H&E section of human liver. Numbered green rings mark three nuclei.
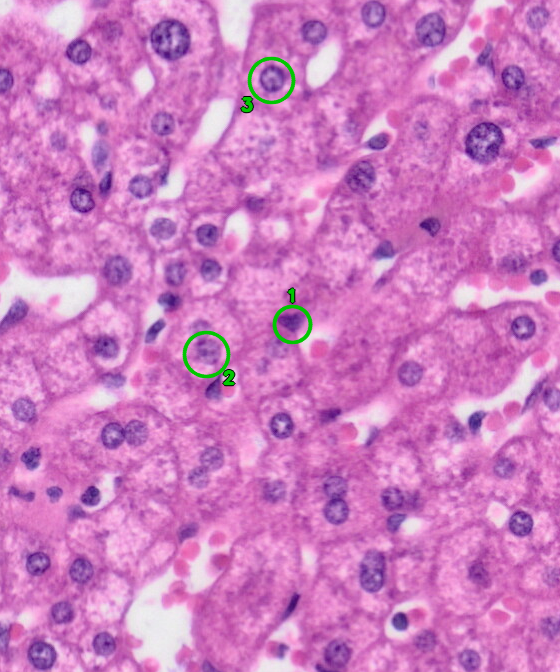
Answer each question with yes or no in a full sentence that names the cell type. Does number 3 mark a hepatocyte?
Yes, to put it simply, cell number 3 is a hepatocyte.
